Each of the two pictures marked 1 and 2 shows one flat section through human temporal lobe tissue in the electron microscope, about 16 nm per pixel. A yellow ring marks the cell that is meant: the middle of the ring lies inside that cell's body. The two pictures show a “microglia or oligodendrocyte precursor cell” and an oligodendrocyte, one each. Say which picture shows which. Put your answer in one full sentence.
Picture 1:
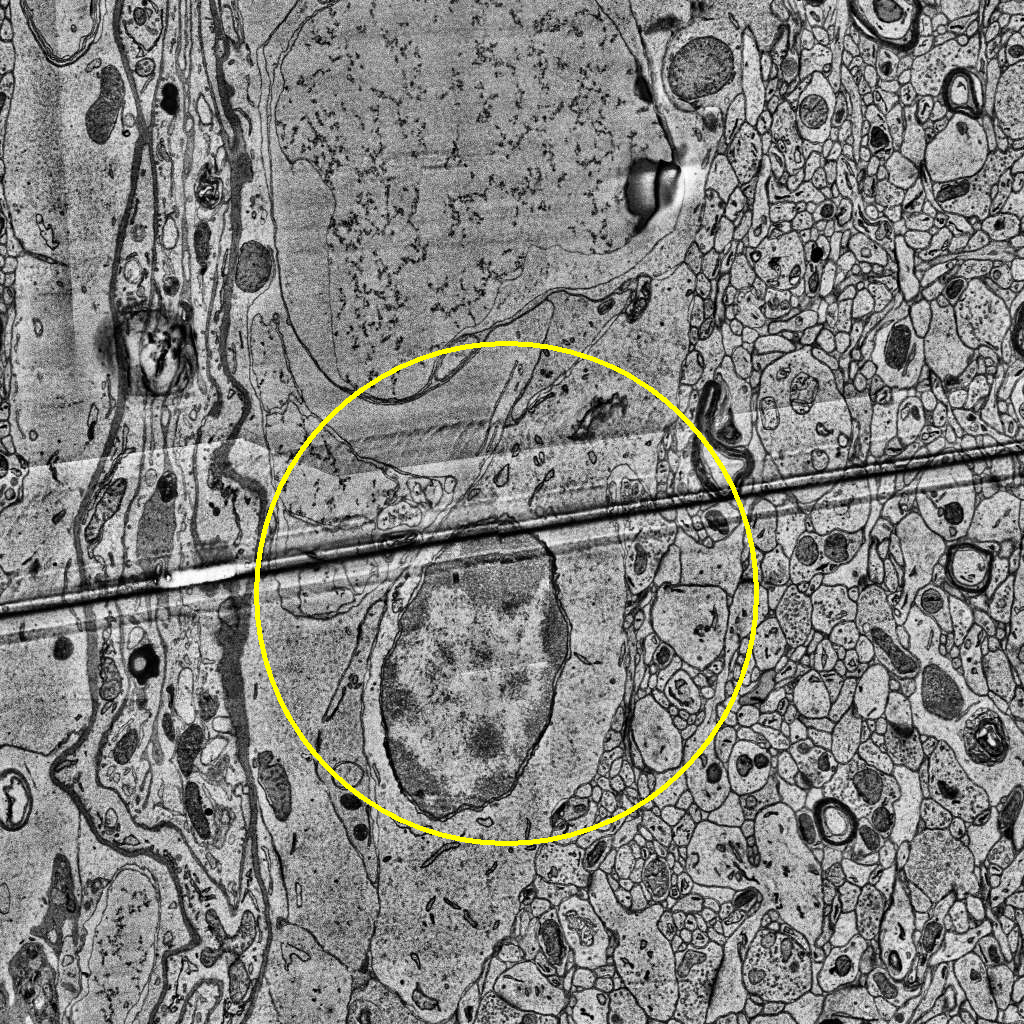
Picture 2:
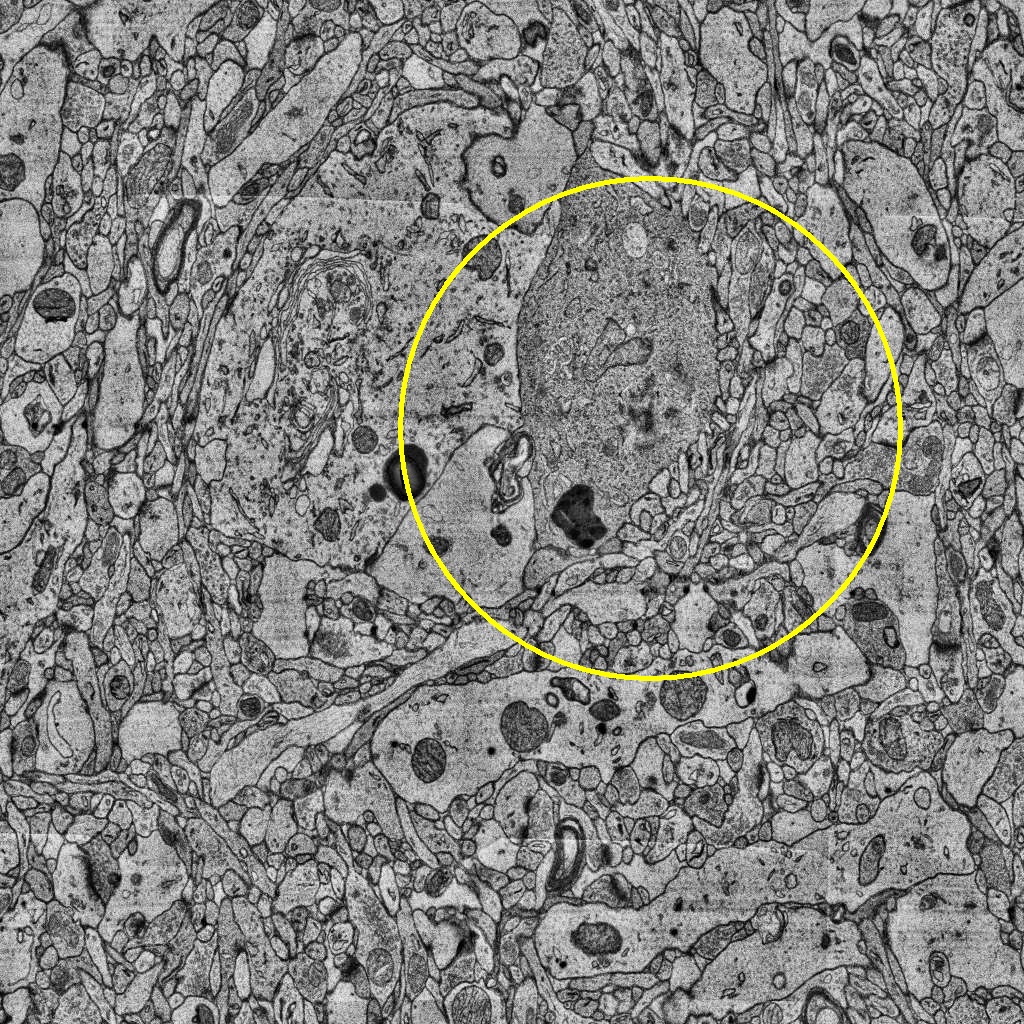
The cell in picture 1 is a “microglia or oligodendrocyte precursor cell”, and the one in picture 2 is an oligodendrocyte.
